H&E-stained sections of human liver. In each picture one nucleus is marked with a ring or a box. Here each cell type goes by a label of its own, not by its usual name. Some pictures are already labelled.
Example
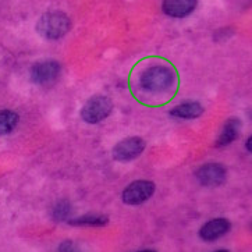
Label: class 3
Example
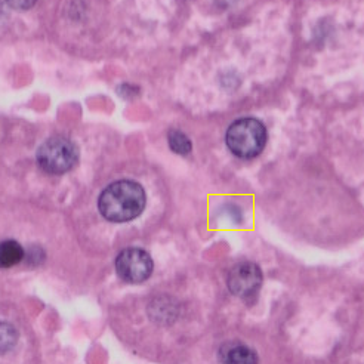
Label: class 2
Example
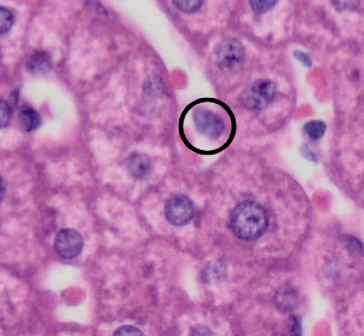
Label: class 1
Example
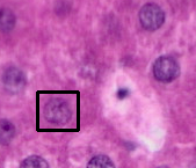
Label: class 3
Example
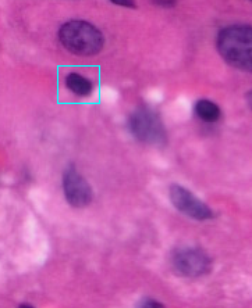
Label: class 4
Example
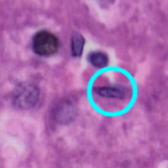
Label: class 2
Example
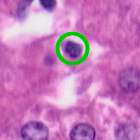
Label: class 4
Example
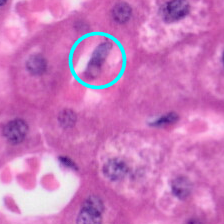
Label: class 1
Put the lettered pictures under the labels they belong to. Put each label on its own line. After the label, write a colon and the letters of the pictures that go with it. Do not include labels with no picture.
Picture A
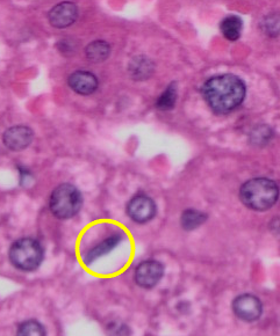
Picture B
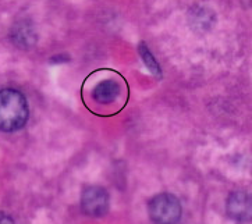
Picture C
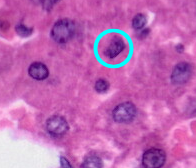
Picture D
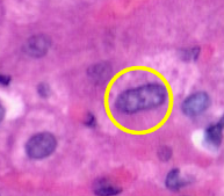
class 3: D
class 2: C
class 1: A
class 4: B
